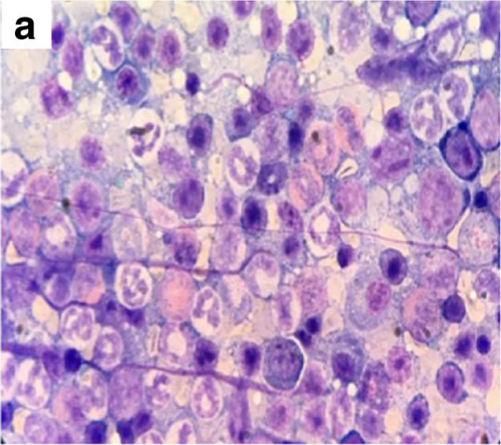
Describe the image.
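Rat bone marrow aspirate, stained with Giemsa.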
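Many cells have large, pale purple nuclei in pink to lilac cytoplasm, and several of these nuclei are ring-shaped or band-shaped. Other cells are smaller, with round, dense, dark purple nuclei. A few larger cells have deep blue cytoplasm, and small clear round spaces lie scattered between the cells.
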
